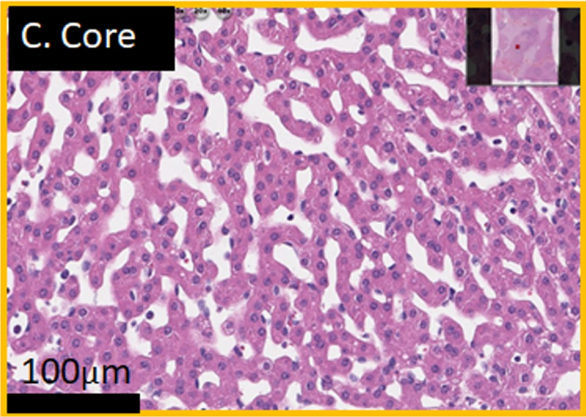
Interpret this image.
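This is liver tissue in which the hepatocytes still form cords, but the sinusoids between them are conspicuously widened. The wide white channels branch and interconnect, leaving the cords of pink cells thin and separated. The hepatocytes still have round purple nuclei and pink cytoplasm, so they do not look destroyed. Compared with normal liver, the spaces between the cords are much more open and the tissue looks loosened.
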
